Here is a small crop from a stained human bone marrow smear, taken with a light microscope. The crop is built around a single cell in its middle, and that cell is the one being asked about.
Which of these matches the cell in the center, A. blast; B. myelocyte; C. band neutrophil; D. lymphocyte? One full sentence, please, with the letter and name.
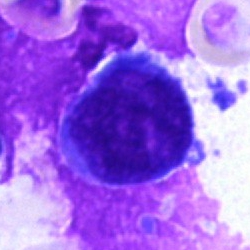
The correct option, A, names the middle cell as a blast.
